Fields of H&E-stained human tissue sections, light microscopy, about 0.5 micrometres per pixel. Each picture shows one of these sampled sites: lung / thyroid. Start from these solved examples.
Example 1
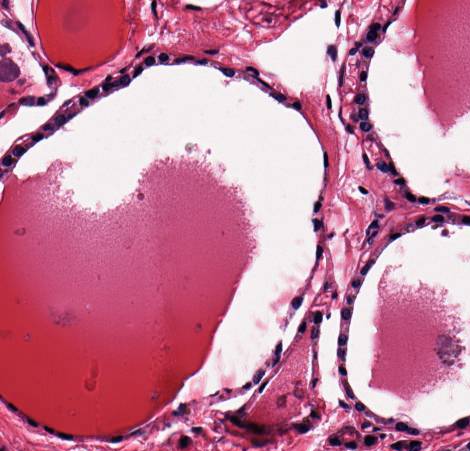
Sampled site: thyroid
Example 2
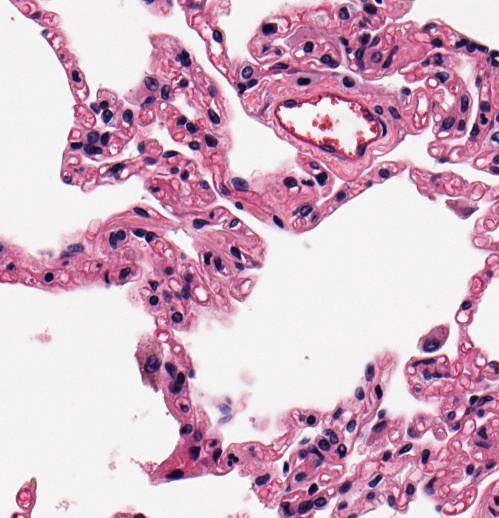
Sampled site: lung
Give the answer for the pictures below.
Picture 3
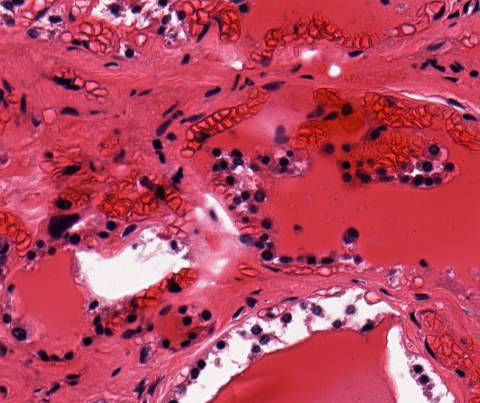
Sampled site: thyroid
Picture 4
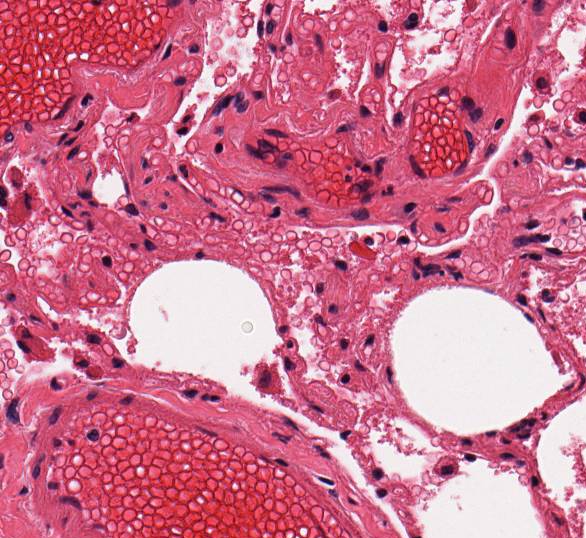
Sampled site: lung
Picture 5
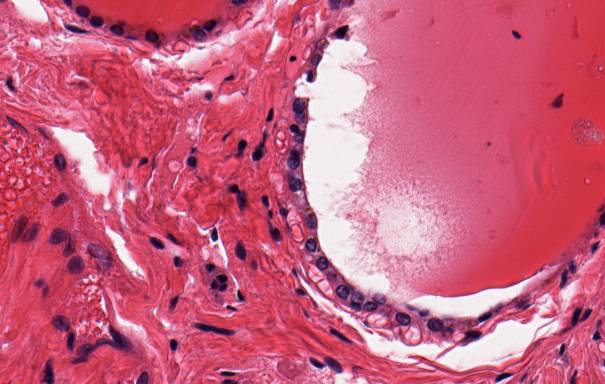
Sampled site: thyroid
